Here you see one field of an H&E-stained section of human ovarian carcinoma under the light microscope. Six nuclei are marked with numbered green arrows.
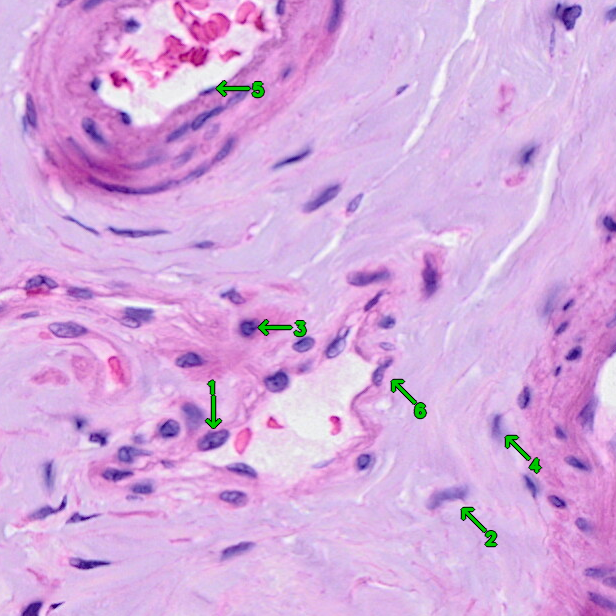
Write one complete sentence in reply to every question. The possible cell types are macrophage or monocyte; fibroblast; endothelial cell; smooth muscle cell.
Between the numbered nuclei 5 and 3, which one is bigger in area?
Nucleus 3 is larger, with an area about 2.5 times that of nucleus 5.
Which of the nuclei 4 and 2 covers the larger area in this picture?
Nucleus 2 covers more area, about 1.5 times as much as nucleus 4.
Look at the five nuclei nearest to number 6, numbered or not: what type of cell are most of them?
Around number 6, most of the five nearest nuclei are those of endothelial cells.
